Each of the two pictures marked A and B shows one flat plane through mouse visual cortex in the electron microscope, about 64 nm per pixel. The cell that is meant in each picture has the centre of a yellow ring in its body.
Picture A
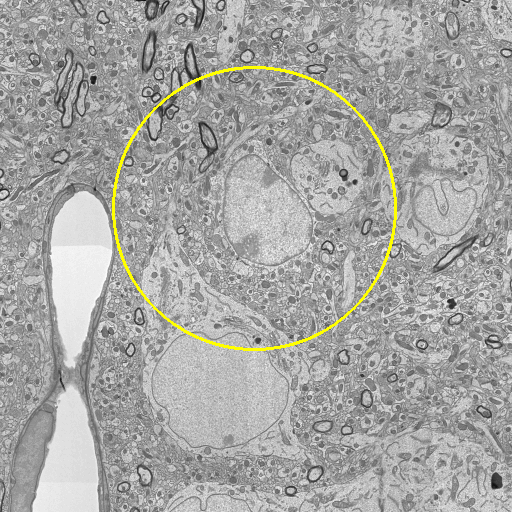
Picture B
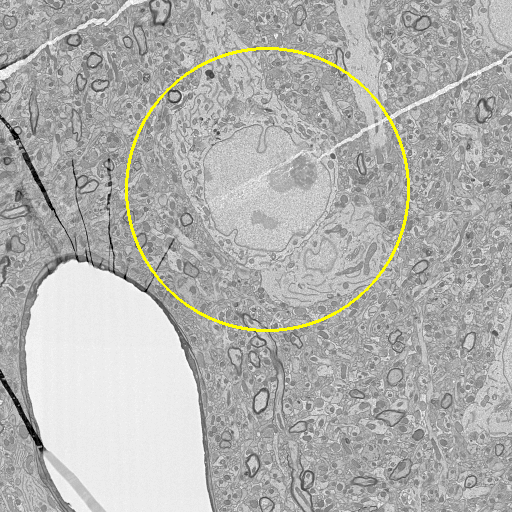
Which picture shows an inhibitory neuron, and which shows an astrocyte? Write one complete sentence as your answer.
In picture A the cell is an astrocyte; in picture B, an inhibitory neuron.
